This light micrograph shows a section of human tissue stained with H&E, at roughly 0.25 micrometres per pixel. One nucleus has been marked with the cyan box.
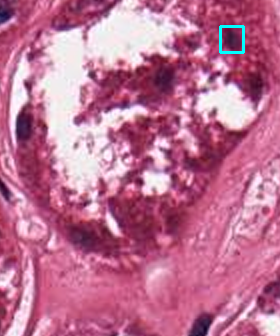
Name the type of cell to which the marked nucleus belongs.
proximal tubule cell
